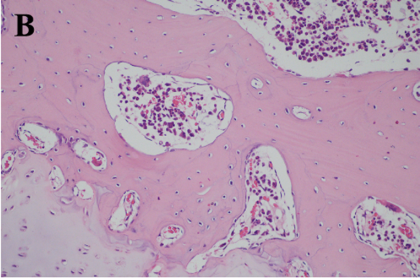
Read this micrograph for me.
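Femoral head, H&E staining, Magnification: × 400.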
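The marrow spaces are lined by thin flat cells and contain clusters of small round cells with dark purple nuclei, mixed with red blood cells and small vessels. A paler, greyish-violet area lies at the lower left. The marrow here is cellular rather than filled by clear vacuoles.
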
